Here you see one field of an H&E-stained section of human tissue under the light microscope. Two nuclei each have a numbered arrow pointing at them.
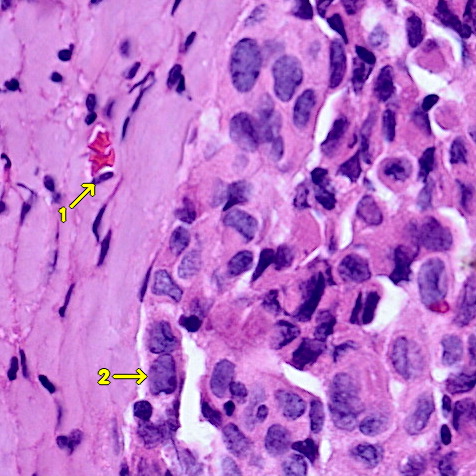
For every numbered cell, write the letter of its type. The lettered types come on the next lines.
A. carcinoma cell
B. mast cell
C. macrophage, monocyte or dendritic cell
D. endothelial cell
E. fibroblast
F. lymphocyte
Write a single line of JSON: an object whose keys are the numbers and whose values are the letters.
{"1": "D", "2": "A"}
